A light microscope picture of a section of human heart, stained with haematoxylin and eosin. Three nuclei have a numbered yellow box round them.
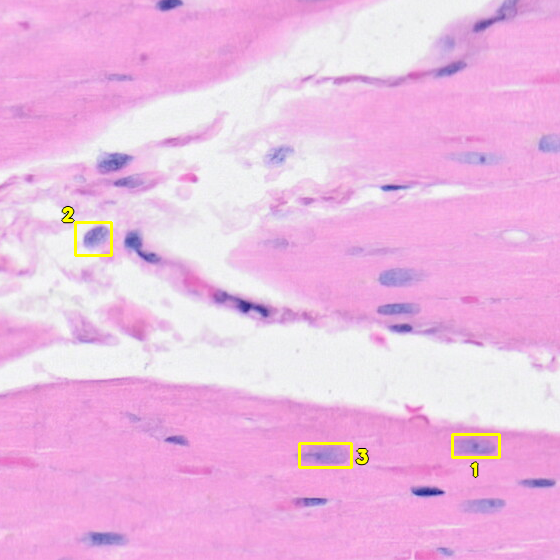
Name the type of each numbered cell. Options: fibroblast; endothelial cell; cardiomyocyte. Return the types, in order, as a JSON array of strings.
["cardiomyocyte", "fibroblast", "cardiomyocyte"]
